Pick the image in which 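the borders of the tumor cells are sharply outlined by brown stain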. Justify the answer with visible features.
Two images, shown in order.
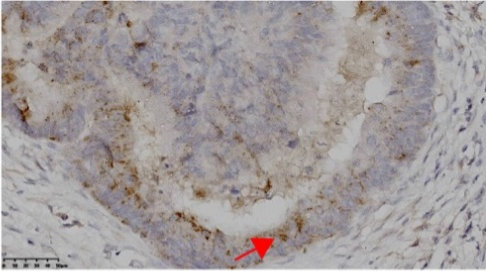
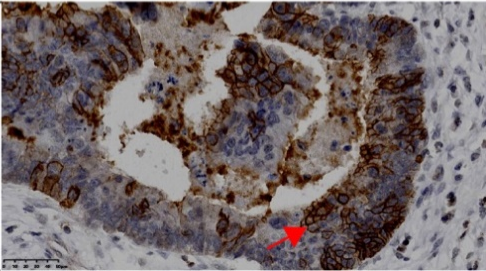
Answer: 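Second image: dark brown rims trace the outlines of many individual tumor cells. First image: faint, patchy brown stain in the cytoplasm without crisp cell outlines. On this evidence: the second image.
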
